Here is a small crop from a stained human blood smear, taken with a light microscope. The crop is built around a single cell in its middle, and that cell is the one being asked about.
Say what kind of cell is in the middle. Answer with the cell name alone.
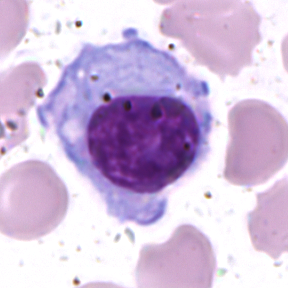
plasma cell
